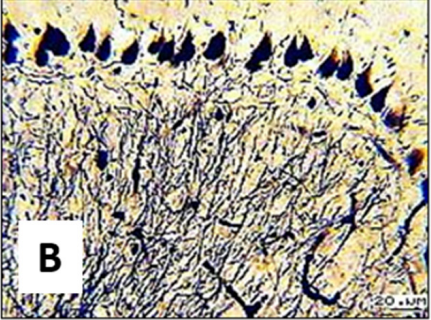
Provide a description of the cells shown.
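This shows the granular layer of the cerebellum beneath a row of large dark neuron bodies at the top edge. The layer is traversed by a dense meshwork of thin, dark-impregnated fibers running mostly vertically, with a few thicker dark vessels or processes among them.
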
